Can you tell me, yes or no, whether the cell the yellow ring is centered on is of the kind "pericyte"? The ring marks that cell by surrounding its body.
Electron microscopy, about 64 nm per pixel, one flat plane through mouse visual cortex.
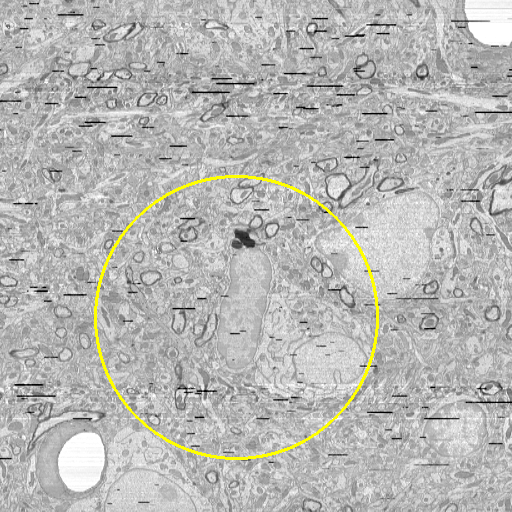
no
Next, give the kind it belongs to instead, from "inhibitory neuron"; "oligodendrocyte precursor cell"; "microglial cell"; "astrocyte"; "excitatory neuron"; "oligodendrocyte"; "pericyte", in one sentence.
The cell shown in the ring is a microglial cell.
